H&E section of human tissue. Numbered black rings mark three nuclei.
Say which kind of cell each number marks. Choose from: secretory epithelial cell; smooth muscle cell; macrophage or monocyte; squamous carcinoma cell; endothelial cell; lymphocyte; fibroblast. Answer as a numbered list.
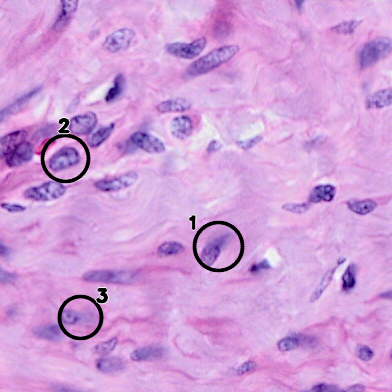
1. fibroblast
2. endothelial cell
3. smooth muscle cell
